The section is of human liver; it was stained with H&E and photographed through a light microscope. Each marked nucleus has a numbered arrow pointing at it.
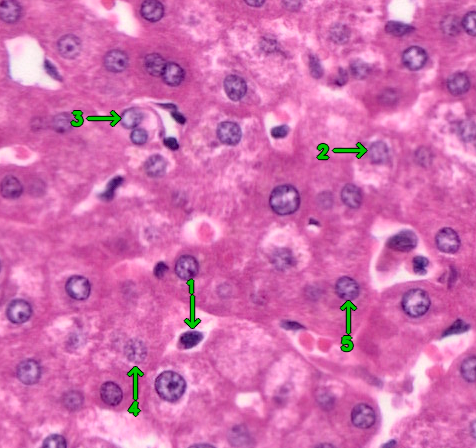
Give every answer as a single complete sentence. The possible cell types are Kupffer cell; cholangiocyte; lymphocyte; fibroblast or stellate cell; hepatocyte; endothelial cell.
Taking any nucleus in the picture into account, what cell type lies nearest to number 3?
The nearest nucleus to number 3 belongs to a cholangiocyte.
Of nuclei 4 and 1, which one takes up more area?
Nucleus 4 is the larger one, covering about 1.5 times the area of nucleus 1.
